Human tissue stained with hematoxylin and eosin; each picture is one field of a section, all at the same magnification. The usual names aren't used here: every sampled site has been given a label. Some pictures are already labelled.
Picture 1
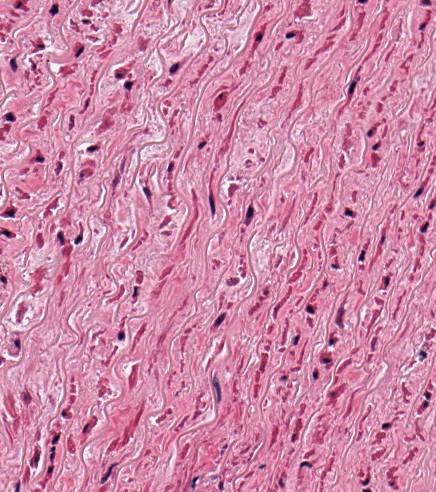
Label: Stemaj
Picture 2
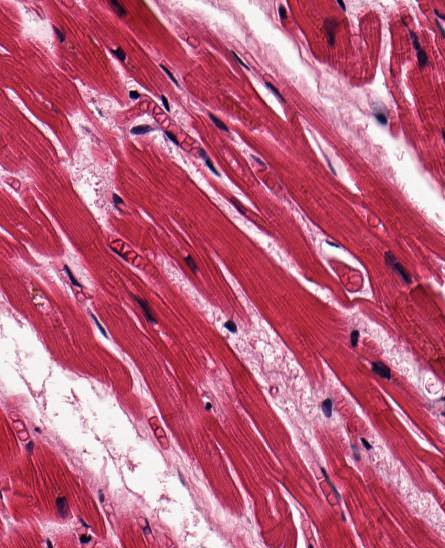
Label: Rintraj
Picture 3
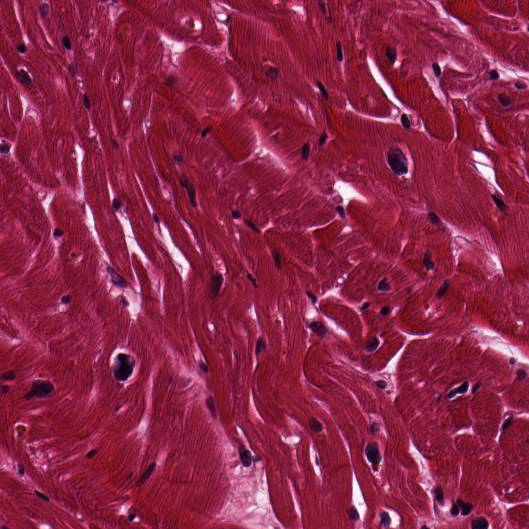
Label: Rintraj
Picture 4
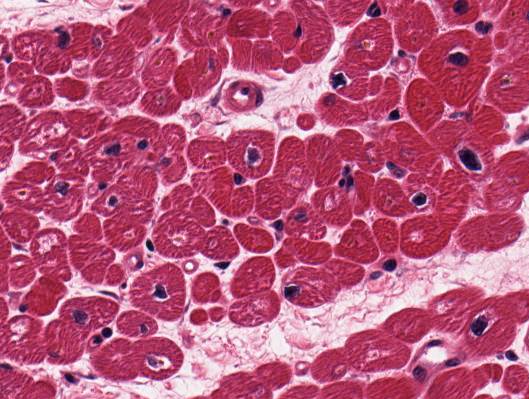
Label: Rintraj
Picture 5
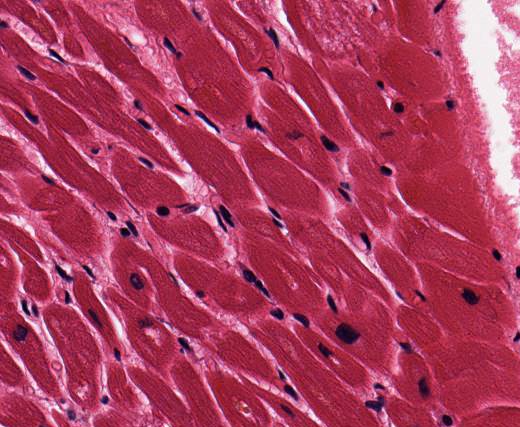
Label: Rintraj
